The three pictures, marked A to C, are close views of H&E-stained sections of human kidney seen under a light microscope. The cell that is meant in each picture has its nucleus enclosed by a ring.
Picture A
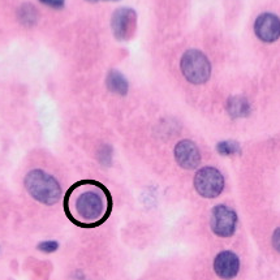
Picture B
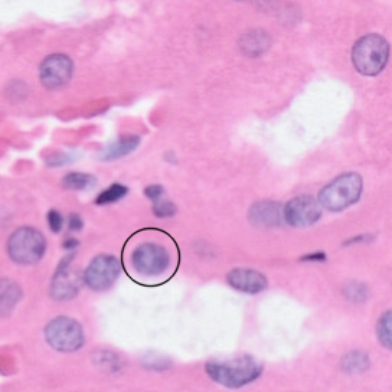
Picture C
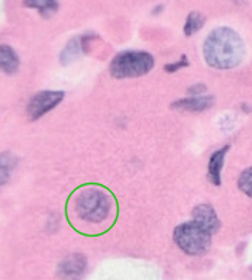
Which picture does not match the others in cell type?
A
